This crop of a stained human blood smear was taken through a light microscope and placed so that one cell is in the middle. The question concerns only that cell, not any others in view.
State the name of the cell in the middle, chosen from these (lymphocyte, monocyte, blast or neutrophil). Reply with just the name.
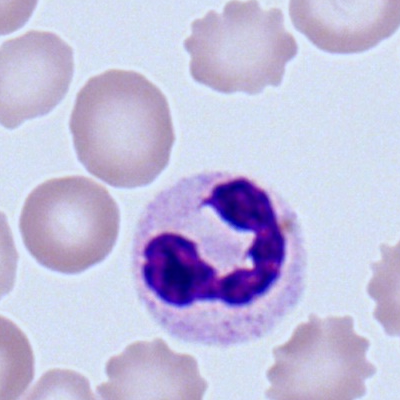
neutrophil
